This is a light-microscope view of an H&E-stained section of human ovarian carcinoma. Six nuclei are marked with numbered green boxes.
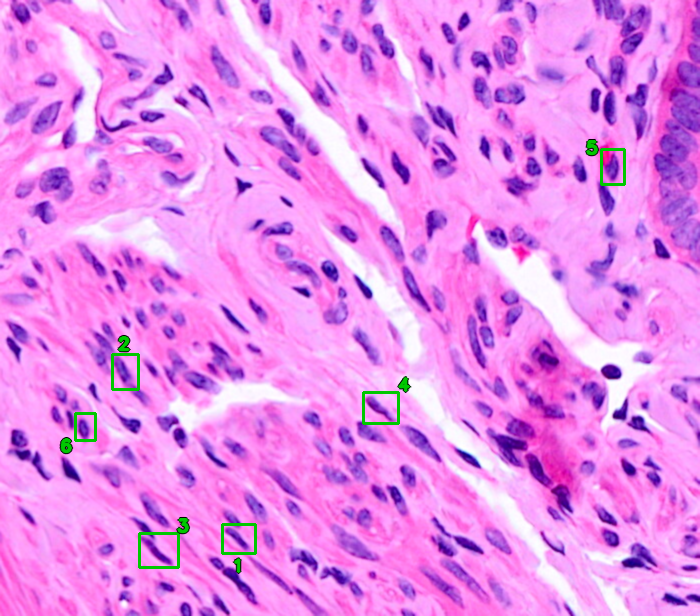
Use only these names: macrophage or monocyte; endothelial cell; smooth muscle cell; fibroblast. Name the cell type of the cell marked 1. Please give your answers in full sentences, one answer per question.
The marked cell with the number 1 is recognised as a smooth muscle cell.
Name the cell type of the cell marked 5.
The expected answer is that cell 5 is an endothelial cell.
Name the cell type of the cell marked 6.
The cell indicated by marker 6 is a smooth muscle cell in this section.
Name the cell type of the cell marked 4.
The cell that bears the number 4 is a fibroblast.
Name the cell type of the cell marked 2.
The cell identified by the number 2 is a smooth muscle cell.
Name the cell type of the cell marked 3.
The cell bearing label 3 corresponds to a smooth muscle cell.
